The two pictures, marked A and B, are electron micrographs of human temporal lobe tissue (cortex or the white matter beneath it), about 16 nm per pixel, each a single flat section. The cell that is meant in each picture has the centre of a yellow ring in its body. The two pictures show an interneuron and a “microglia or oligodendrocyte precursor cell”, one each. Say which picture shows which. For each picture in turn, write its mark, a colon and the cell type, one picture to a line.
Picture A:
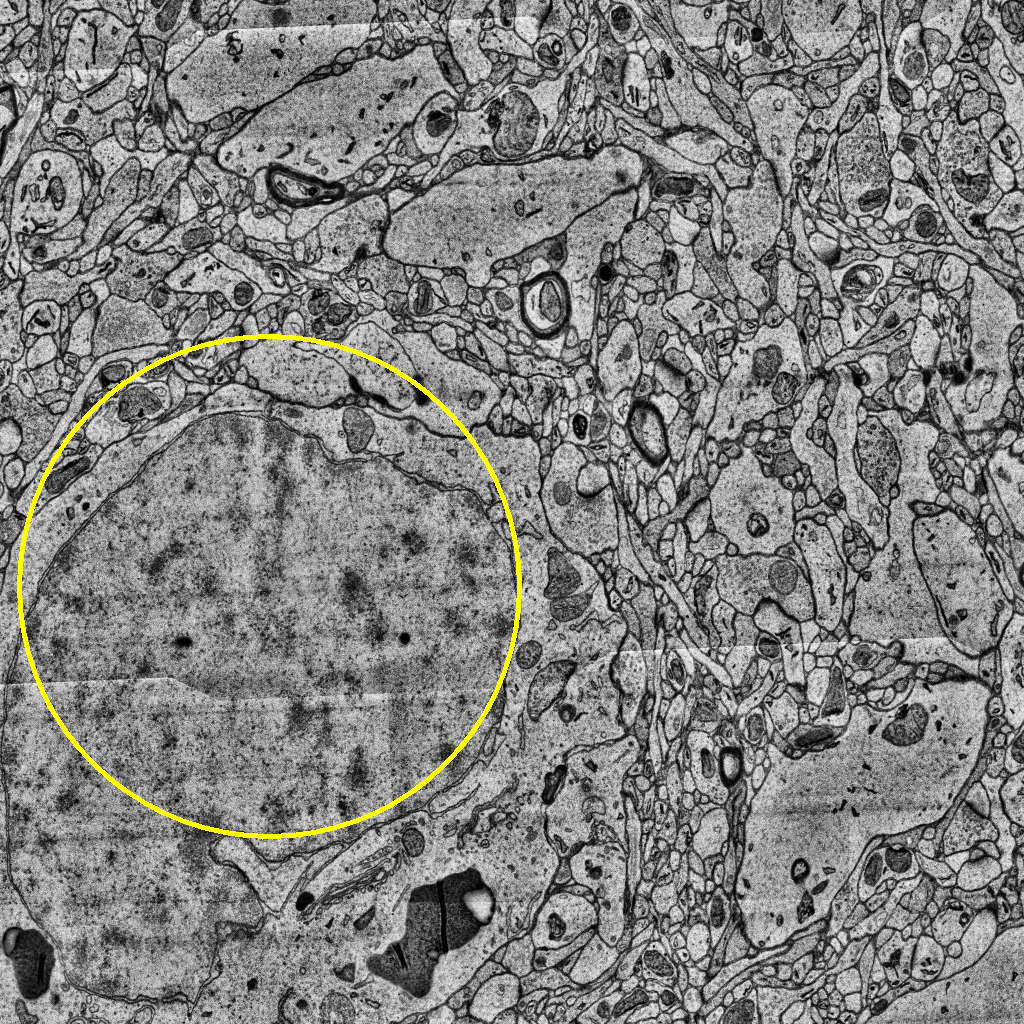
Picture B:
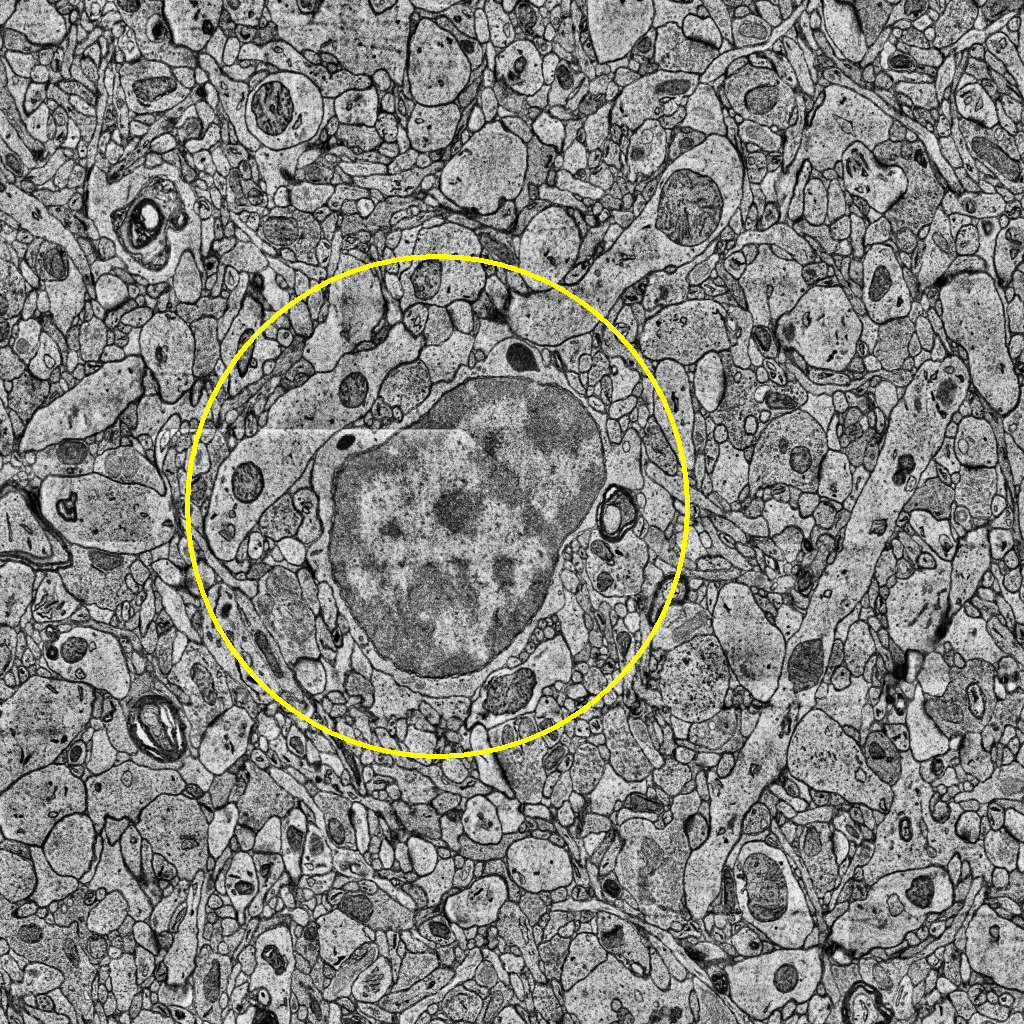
A: interneuron
B: microglia or oligodendrocyte precursor cell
